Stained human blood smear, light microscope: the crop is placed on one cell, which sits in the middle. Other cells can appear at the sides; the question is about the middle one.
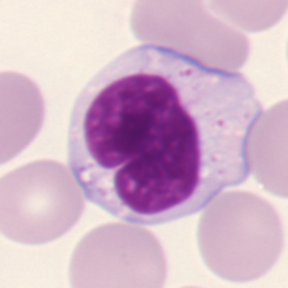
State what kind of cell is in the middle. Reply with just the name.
large granular lymphocyte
